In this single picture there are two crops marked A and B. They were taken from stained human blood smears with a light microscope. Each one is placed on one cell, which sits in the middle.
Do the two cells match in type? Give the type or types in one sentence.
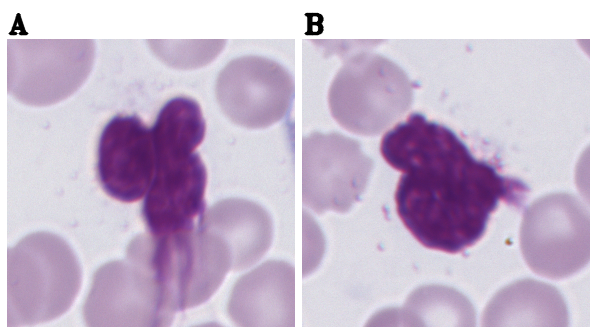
Yes, both crops show smudge cells, one in each.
